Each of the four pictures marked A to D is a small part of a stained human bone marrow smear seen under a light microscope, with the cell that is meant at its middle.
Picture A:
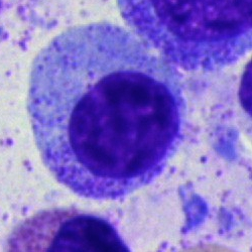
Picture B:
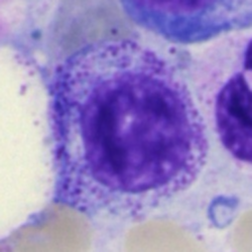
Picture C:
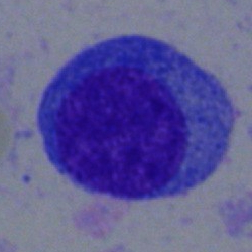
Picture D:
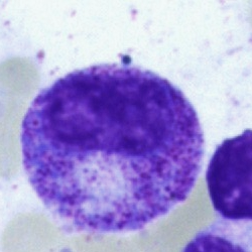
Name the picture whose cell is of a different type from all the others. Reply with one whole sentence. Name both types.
Picture C differs, because its cell is a plasma cell and the rest are myelocytes.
